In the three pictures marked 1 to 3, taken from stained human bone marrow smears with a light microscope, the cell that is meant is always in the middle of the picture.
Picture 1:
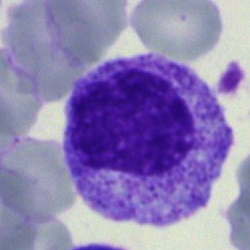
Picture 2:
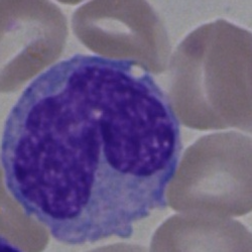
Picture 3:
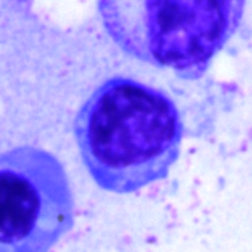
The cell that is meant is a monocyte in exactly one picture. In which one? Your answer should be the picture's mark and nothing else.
2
